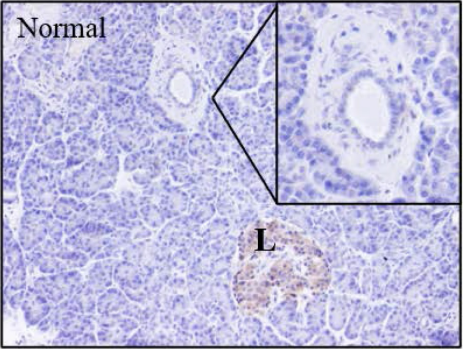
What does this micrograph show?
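Pancreatic tissue is packed with acini of cells with blue, basally placed nuclei. A small duct is lined by a single layer of low cuboidal cells within a rim of loose stroma, and its lining takes up little or no brown stain. A small rounded cluster of paler cells with faint brown staining lies among the acini.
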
